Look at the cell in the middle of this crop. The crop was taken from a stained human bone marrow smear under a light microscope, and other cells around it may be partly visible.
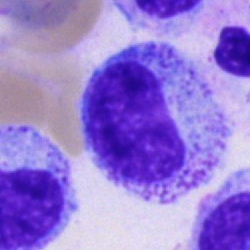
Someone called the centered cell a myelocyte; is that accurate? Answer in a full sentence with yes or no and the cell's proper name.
Yes, the cell that is in the middle is a myelocyte.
